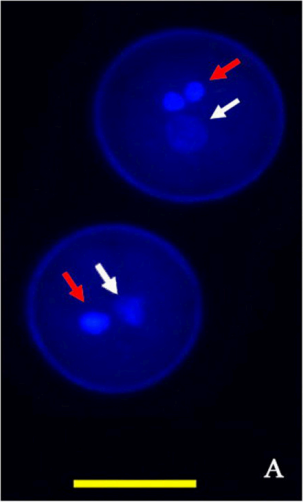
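Two round pollen grains are seen with a bright blue outline of the wall and a dimmer blue interior. Inside each grain lies a larger, more diffuse blue nucleus. Beside it the upper grain holds two small compact bright nuclei, while the lower grain holds one.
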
